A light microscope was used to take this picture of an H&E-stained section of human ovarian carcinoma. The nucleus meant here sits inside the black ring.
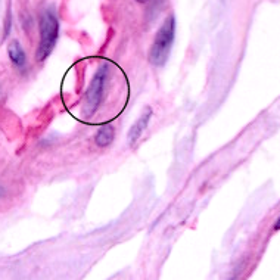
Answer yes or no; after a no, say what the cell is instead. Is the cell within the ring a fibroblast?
No, it is an endothelial cell.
